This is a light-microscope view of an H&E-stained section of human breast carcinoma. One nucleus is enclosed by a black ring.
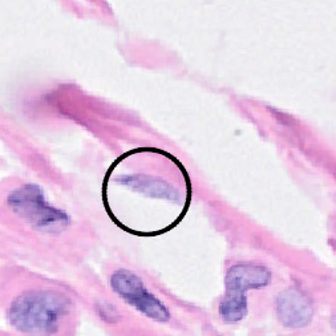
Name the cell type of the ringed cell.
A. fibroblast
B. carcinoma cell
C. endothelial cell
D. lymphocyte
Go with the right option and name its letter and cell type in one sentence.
Exactly as option A gives it, the ringed cell is a fibroblast.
